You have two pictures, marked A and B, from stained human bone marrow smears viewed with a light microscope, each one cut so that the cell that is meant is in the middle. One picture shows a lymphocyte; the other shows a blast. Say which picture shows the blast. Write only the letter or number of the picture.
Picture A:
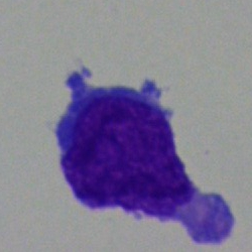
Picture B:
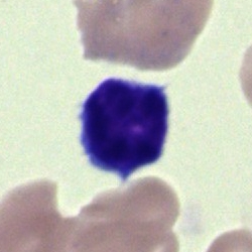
A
